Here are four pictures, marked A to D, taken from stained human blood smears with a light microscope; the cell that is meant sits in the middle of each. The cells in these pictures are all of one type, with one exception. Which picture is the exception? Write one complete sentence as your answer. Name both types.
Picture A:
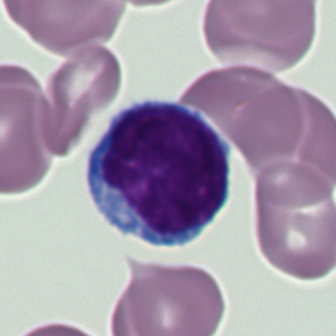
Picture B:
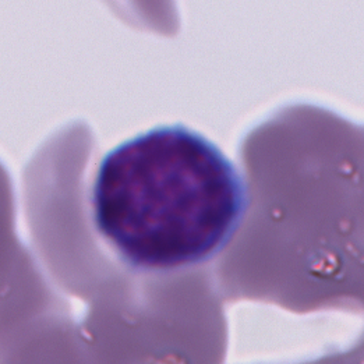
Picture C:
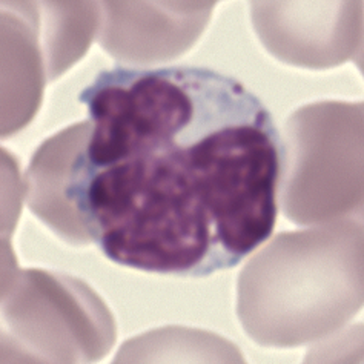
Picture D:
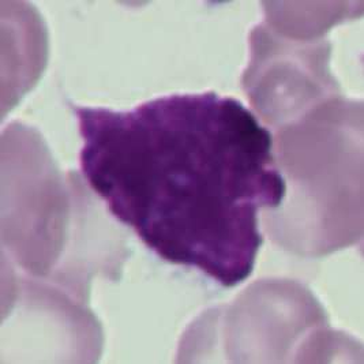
Picture D is the odd one out: it shows a smudge cell, while the others show typical lymphocytes.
